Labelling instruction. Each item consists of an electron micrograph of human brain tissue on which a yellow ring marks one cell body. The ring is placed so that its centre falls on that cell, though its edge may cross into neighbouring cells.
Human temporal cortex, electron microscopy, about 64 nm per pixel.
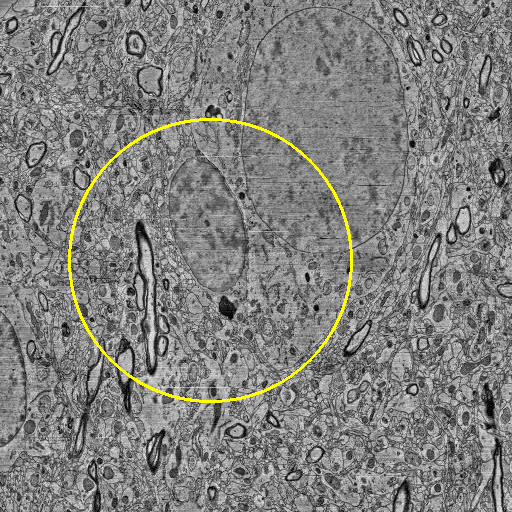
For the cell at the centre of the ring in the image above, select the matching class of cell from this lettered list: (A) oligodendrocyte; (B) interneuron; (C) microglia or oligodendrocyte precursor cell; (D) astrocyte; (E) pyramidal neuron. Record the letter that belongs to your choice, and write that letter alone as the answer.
A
